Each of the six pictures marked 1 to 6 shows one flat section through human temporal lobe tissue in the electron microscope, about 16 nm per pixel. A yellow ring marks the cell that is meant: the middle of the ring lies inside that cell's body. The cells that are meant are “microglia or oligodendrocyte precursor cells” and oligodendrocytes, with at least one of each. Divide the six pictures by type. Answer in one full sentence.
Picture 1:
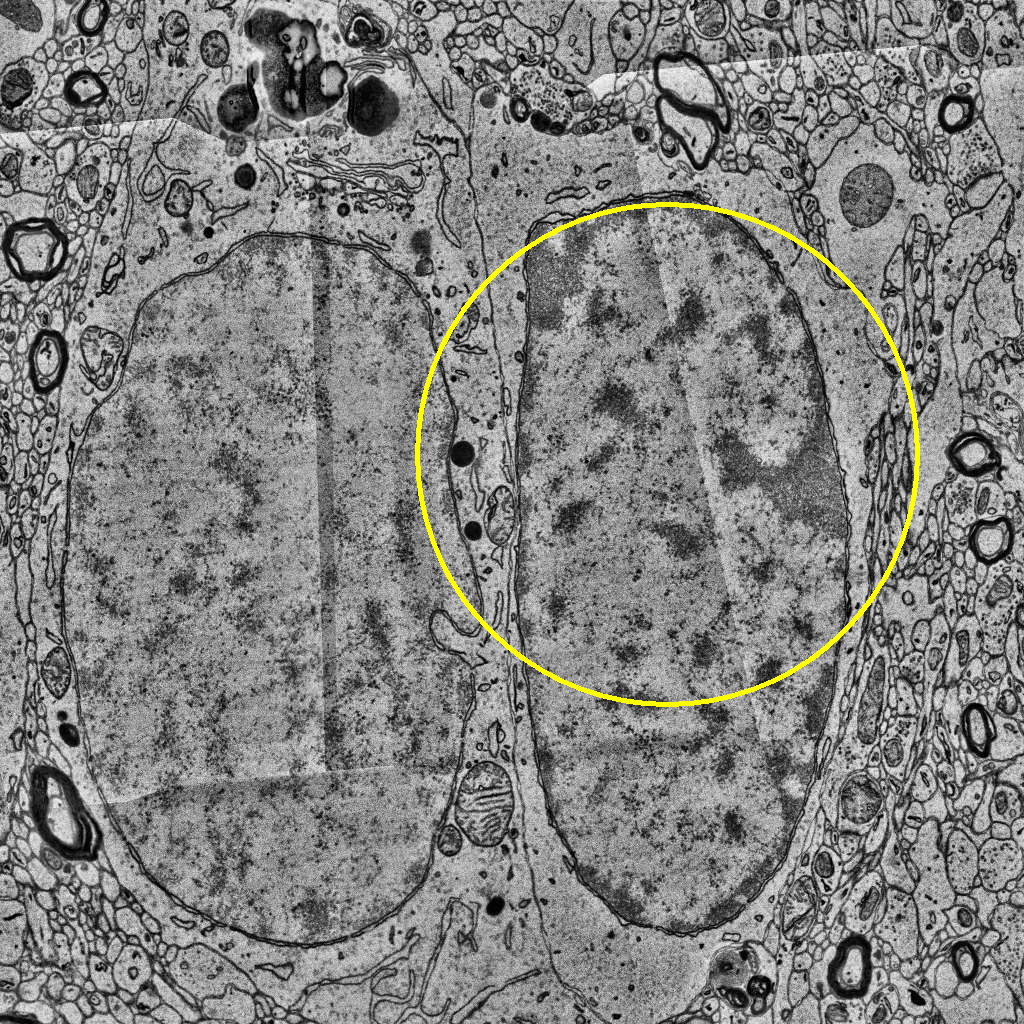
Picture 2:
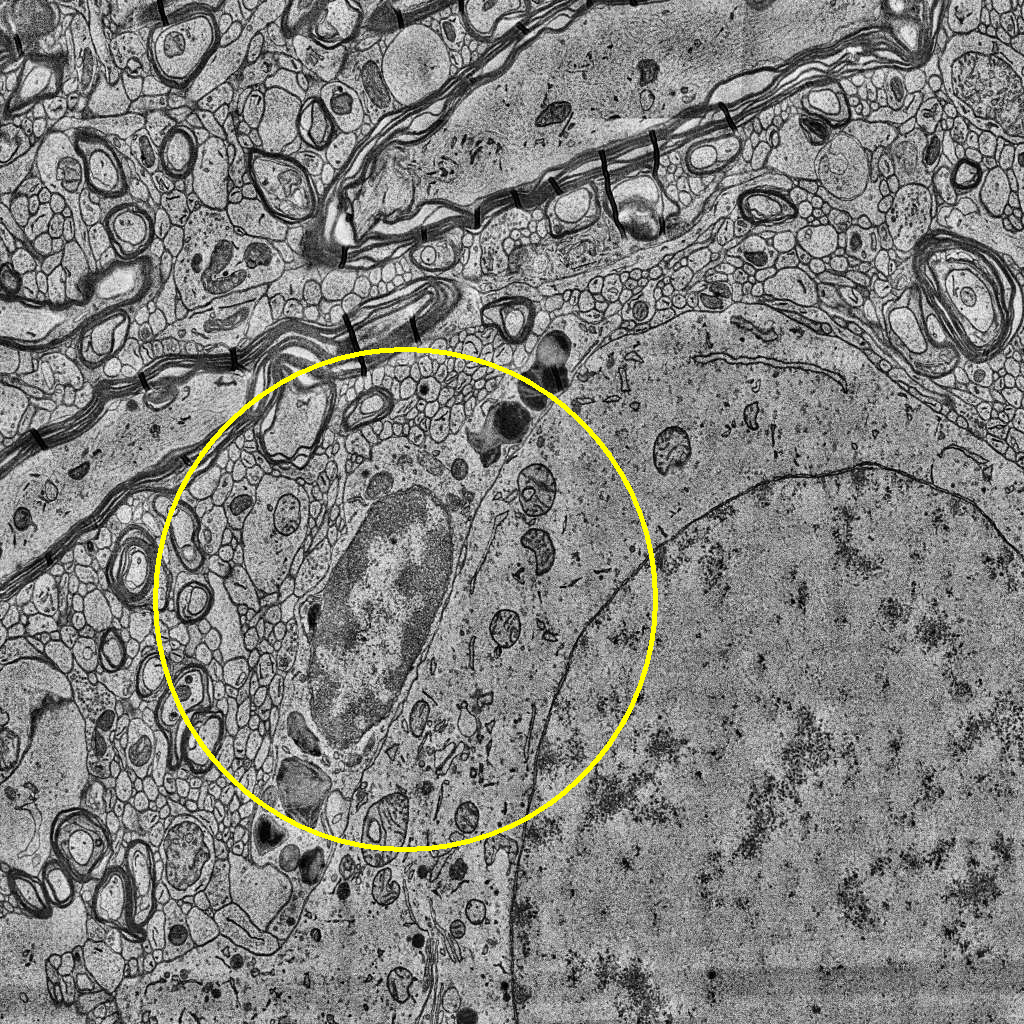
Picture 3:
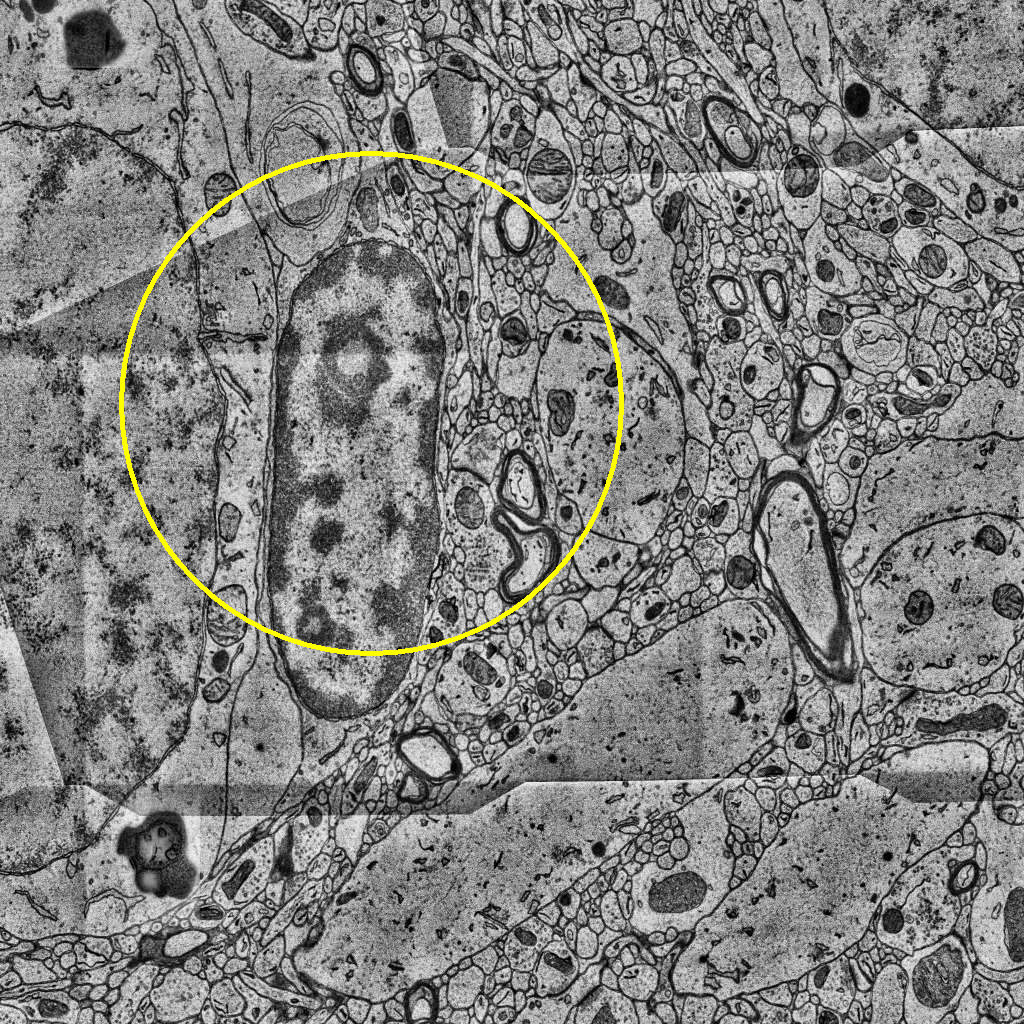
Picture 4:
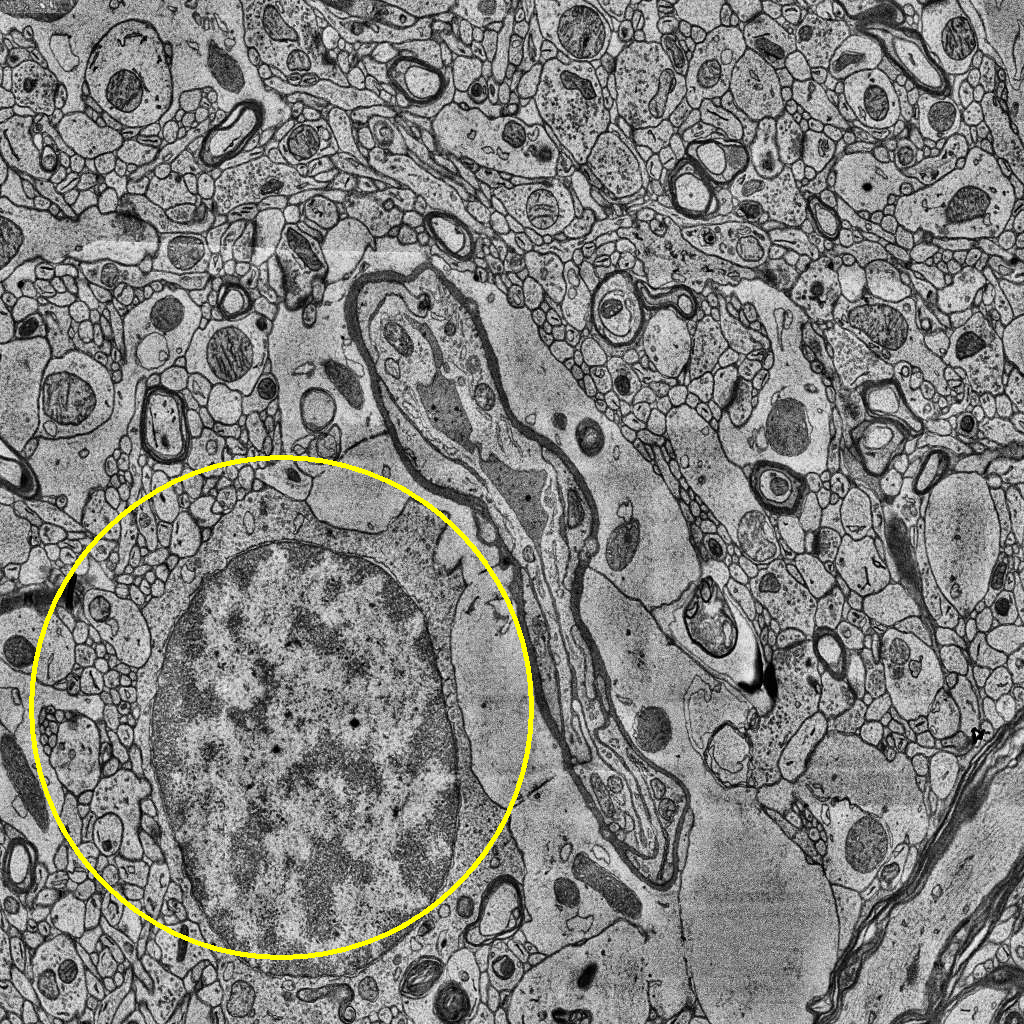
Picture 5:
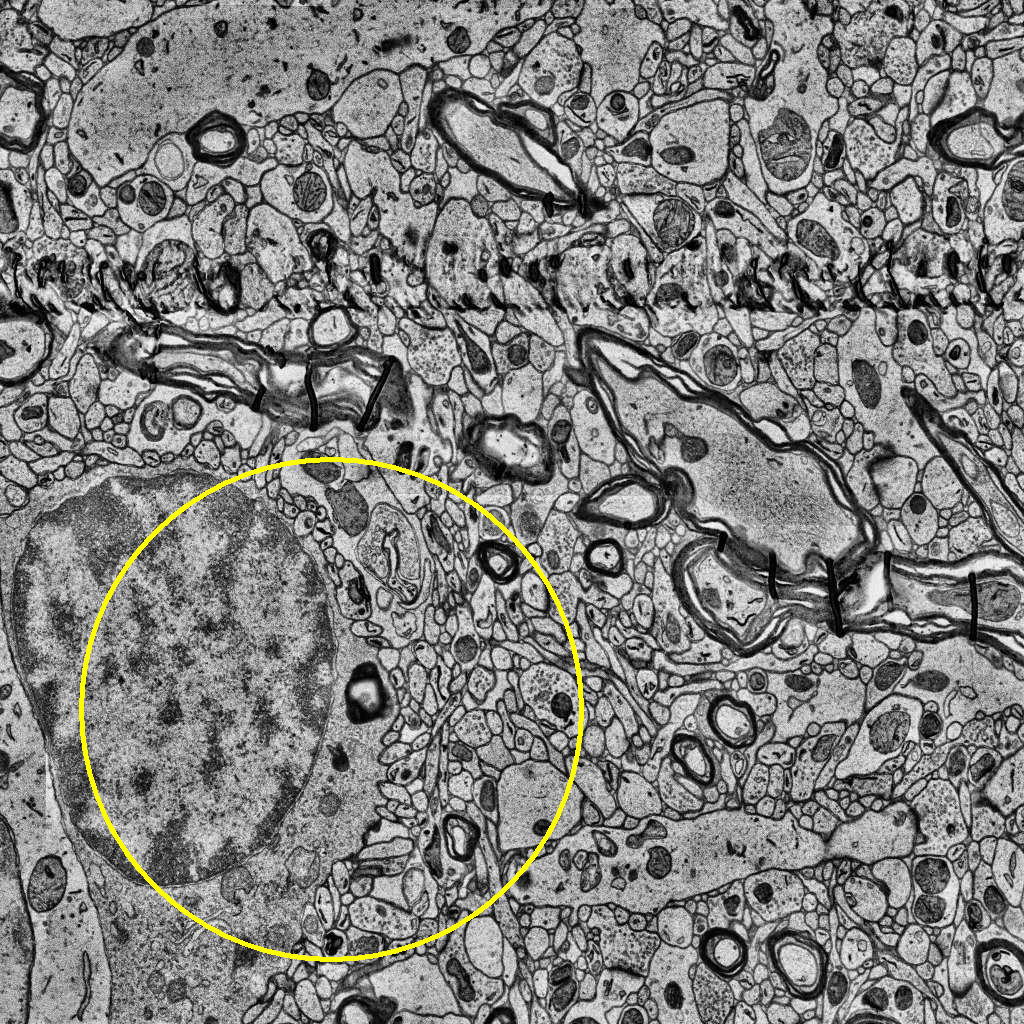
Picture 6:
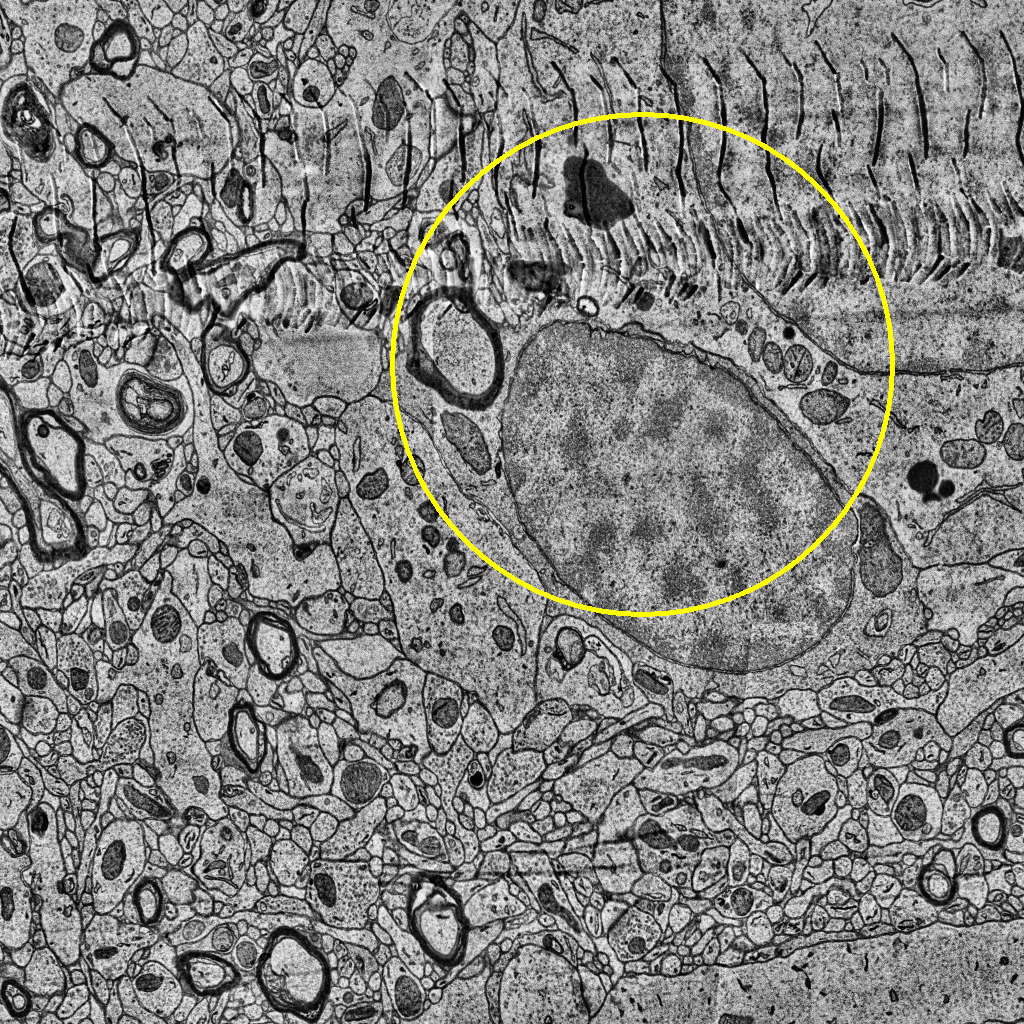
Pictures 1, 2 and 3 show “microglia or oligodendrocyte precursor cells”, while pictures 4, 5 and 6 show oligodendrocytes.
